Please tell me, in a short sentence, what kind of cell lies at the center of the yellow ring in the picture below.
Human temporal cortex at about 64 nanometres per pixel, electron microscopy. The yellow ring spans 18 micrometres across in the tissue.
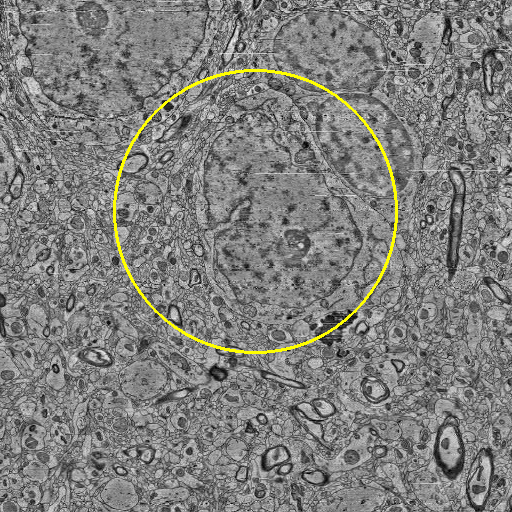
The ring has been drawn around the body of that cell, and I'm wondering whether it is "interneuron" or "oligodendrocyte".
The cell at the center of the ring is an interneuron.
